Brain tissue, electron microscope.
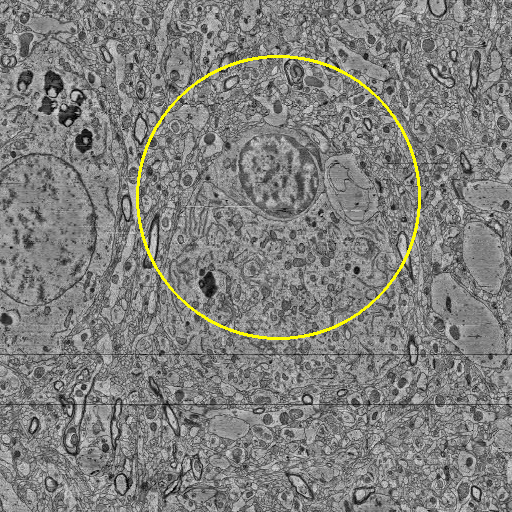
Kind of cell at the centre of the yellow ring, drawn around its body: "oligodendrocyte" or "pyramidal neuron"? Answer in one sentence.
The ring's centre falls on an oligodendrocyte.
